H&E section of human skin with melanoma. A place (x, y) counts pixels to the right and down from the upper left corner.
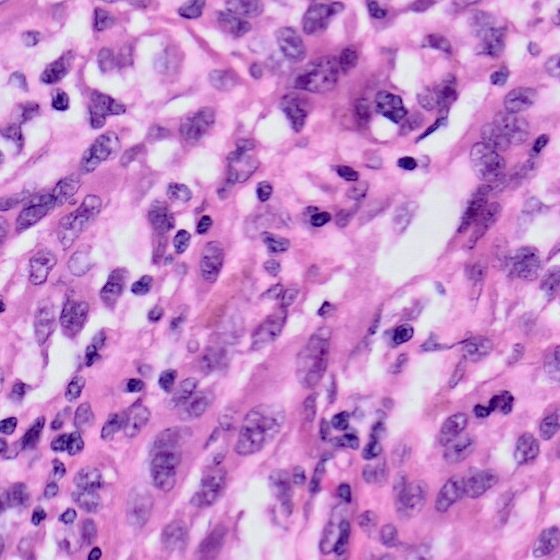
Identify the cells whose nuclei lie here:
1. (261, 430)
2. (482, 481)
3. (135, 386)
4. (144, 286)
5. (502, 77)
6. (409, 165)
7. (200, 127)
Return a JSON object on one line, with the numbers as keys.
{"1": "melanoma cell", "2": "melanoma cell", "3": "lymphocyte", "4": "lymphocyte", "5": "lymphocyte", "6": "lymphocyte", "7": "melanoma cell"}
